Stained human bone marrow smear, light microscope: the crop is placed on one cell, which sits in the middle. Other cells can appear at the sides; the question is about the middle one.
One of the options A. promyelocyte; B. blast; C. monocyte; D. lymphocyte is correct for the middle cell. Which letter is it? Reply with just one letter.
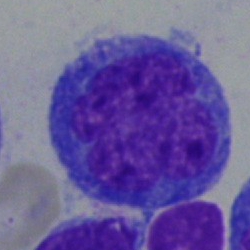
B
